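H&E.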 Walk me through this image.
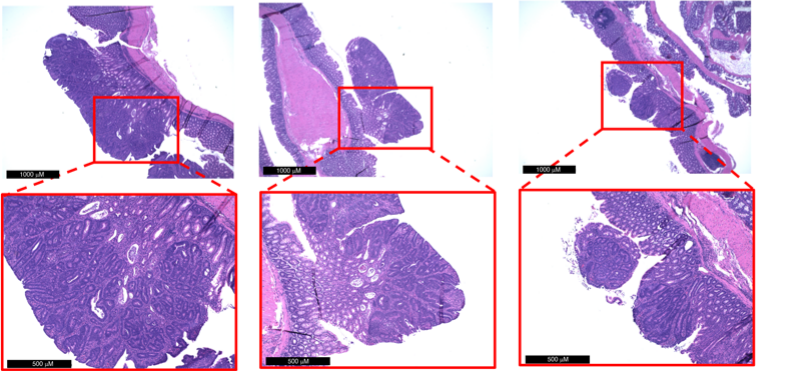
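Low-power sections of colon wall carry polypoid tumors that bulge from the mucosa into the lumen. The tumors are made of densely packed, irregular and branching glands lined by dark purple epithelium, with little pink stroma between them. Beside the tumors, the flat mucosa shows regular, evenly spaced straight crypts over a thin pink muscular wall. The enlarged fields show the crowded gland architecture of the tumors at higher magnification.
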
